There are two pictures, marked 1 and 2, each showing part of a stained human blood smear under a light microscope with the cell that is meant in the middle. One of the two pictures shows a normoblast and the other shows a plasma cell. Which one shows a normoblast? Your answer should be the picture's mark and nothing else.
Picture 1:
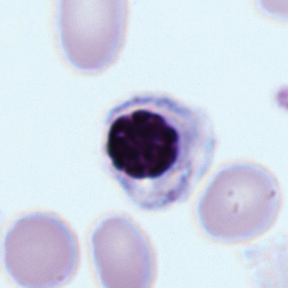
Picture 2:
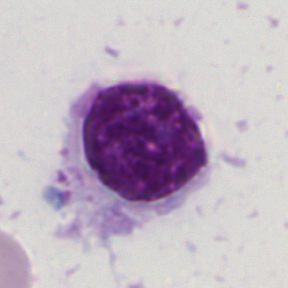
1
